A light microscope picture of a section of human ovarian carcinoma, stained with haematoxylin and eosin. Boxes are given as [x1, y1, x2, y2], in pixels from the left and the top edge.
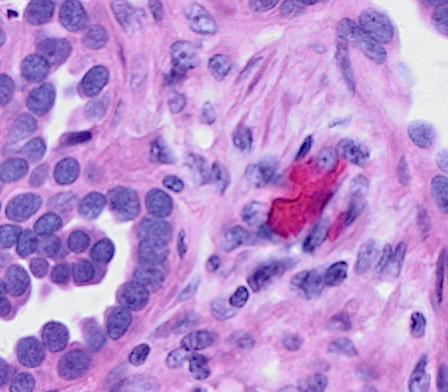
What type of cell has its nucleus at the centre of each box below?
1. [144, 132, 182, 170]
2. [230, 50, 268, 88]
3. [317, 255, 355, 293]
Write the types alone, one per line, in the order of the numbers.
fibroblast
fibroblast
lymphocyte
